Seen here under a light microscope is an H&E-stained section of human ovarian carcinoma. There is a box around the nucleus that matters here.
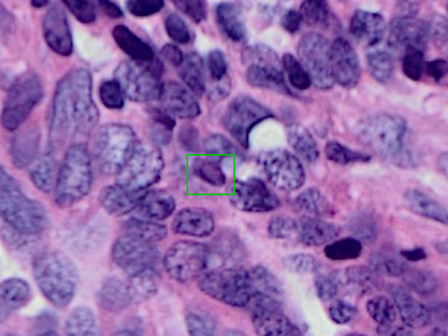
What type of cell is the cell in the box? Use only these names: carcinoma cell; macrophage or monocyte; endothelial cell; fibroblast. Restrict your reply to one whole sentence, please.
Among the cells in this section, the cell in the box is a carcinoma cell.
